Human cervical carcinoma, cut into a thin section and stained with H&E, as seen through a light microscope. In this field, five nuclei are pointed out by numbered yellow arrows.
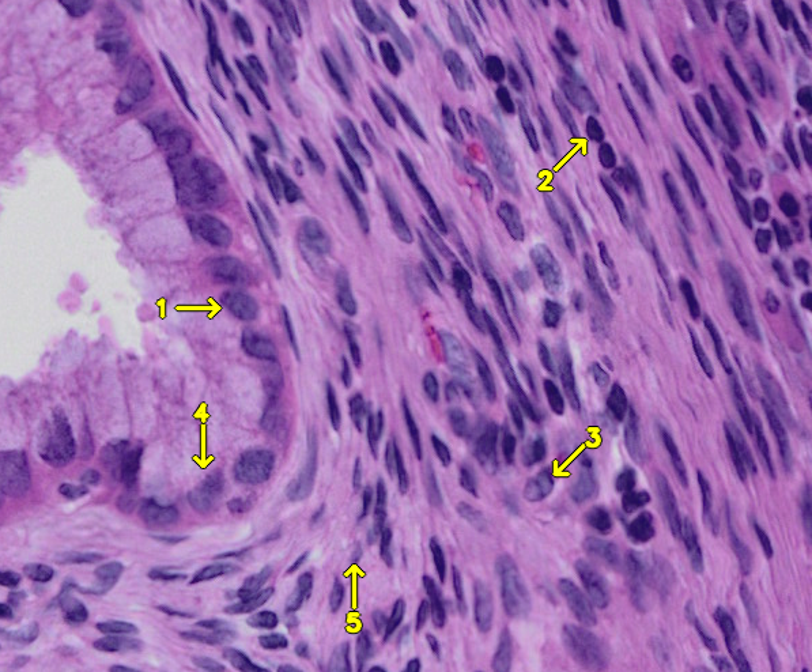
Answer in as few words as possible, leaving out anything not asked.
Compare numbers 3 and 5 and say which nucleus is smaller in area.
5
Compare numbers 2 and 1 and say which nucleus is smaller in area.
2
